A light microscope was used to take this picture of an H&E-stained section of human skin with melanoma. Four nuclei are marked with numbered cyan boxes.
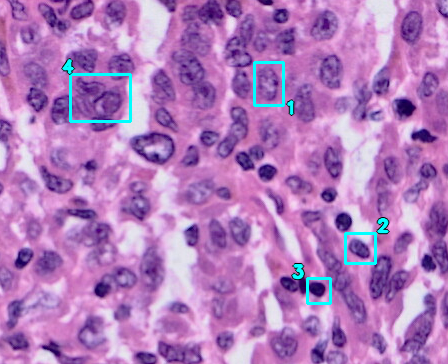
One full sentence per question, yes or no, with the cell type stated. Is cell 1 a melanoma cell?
Yes, cell number 1 in this section is a melanoma cell.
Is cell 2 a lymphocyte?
Yes, the numbered cell 2 is identified as a lymphocyte.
